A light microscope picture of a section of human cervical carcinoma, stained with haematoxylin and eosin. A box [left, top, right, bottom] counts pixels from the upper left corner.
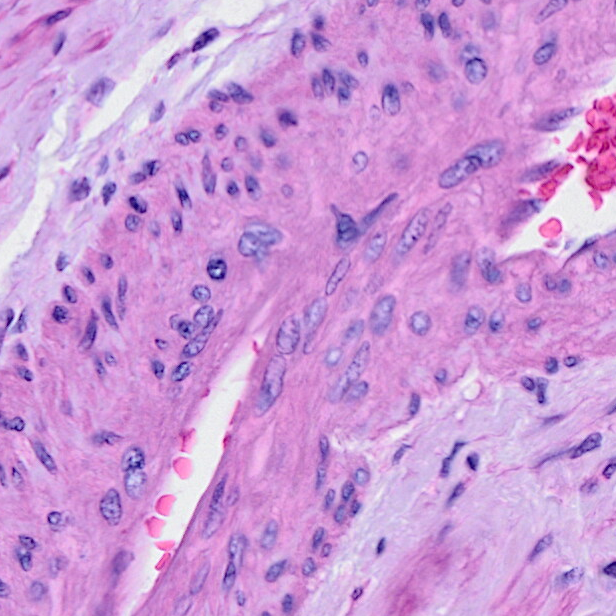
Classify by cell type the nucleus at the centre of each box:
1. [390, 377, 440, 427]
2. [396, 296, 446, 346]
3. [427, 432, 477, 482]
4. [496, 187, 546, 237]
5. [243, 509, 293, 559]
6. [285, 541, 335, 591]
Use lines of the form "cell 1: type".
cell 1: smooth muscle cell
cell 2: smooth muscle cell
cell 3: fibroblast
cell 4: endothelial cell
cell 5: smooth muscle cell
cell 6: smooth muscle cell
